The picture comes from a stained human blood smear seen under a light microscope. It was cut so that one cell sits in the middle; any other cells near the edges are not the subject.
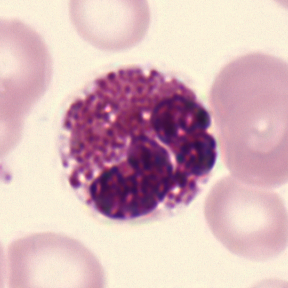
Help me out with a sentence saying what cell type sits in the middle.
The crop centres on a single cell, and that cell is an eosinophil.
